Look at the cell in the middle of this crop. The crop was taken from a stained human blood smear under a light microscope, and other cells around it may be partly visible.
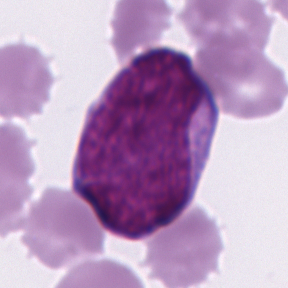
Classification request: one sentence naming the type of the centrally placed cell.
In the middle of this smear crop is a myeloblast.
